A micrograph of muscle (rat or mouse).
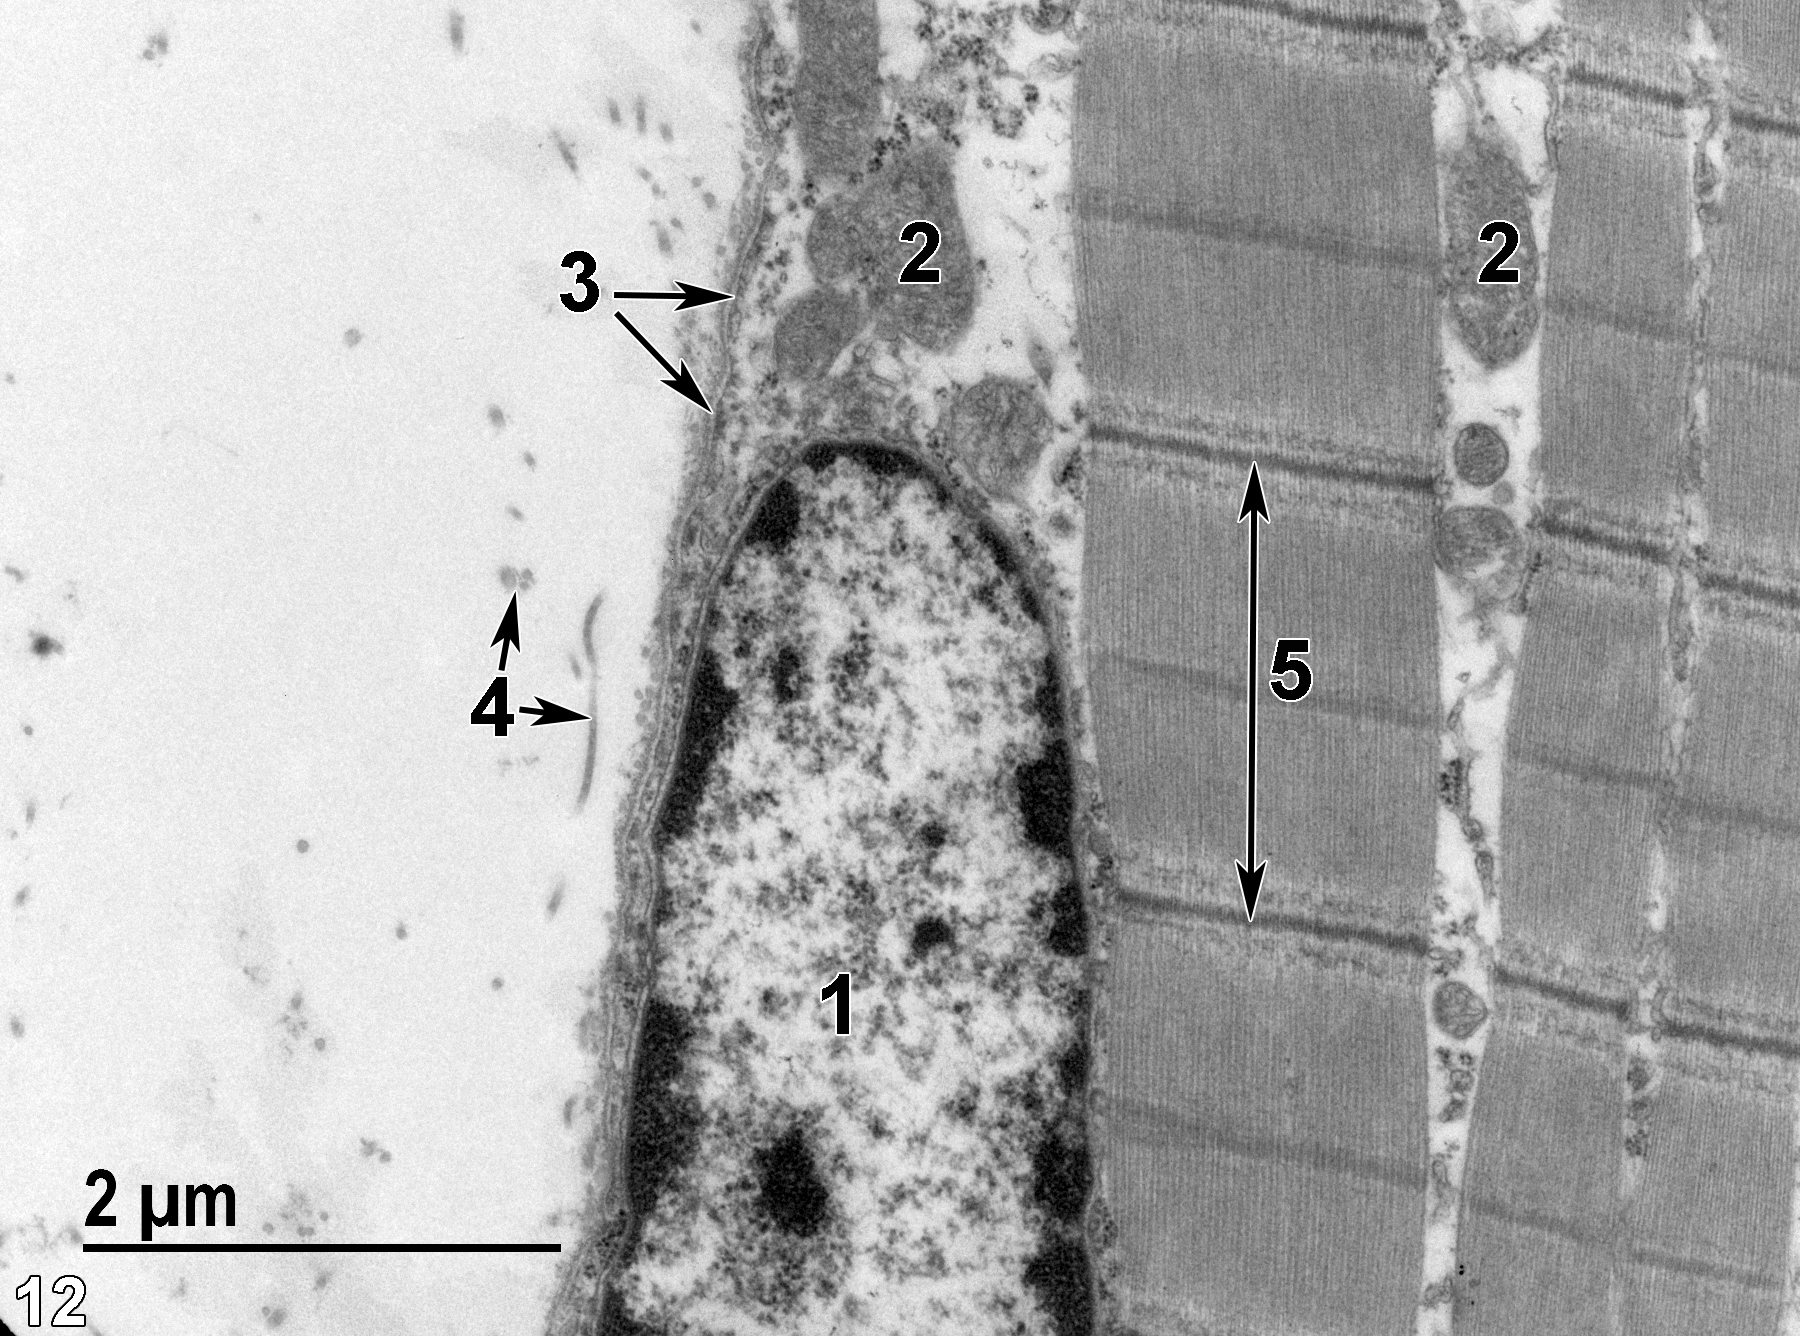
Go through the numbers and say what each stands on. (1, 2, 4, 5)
1 - myocyte nucleus
2 - mitochondria
4 - collagen
5 - sarcomere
